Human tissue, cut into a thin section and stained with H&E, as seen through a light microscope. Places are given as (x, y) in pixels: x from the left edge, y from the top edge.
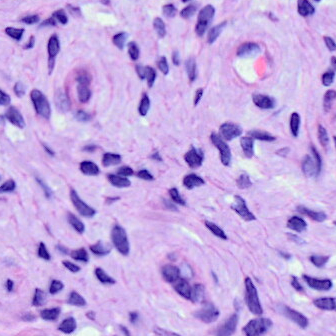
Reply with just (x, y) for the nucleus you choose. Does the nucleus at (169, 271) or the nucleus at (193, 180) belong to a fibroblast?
(193, 180)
